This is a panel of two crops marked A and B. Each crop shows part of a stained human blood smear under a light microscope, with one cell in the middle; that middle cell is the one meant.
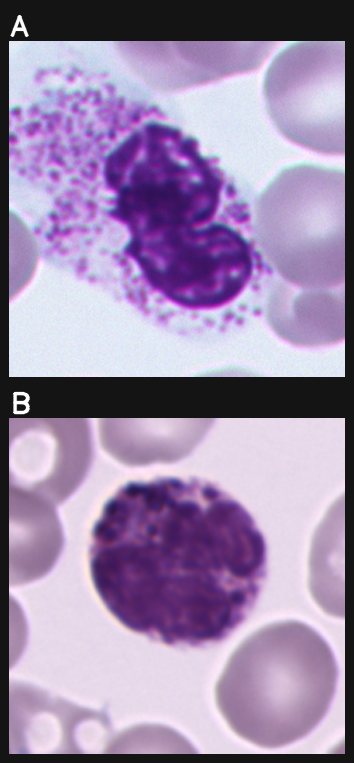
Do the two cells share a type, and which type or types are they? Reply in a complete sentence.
No, crop A matches a segmented neutrophil and crop B matches a basophil.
